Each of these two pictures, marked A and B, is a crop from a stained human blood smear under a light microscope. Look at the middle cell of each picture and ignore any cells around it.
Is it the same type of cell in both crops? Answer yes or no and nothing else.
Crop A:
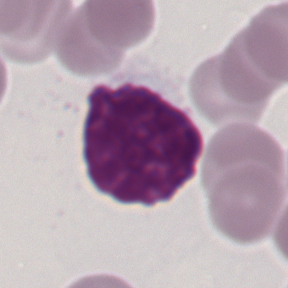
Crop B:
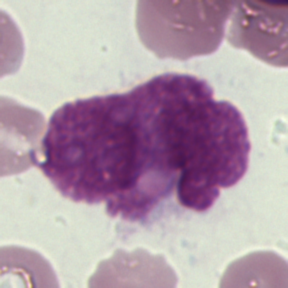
yes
